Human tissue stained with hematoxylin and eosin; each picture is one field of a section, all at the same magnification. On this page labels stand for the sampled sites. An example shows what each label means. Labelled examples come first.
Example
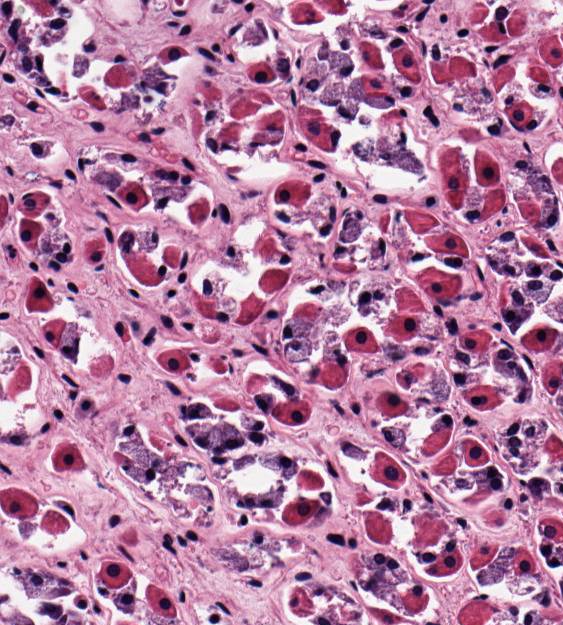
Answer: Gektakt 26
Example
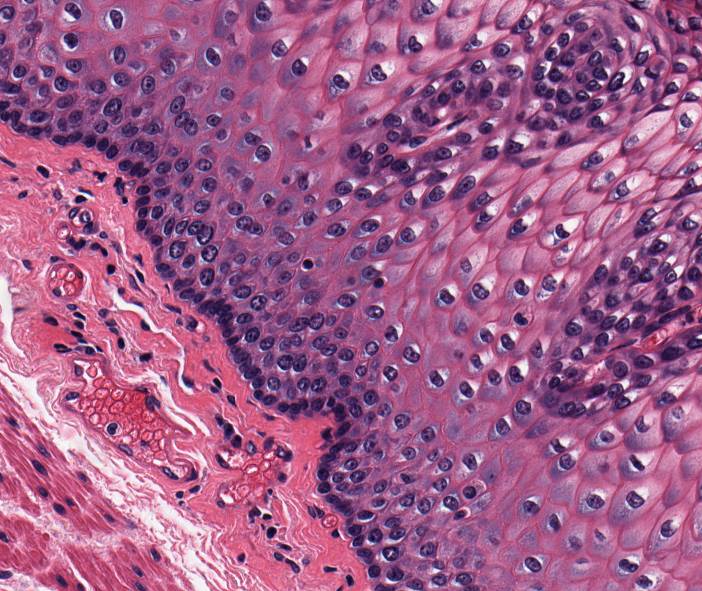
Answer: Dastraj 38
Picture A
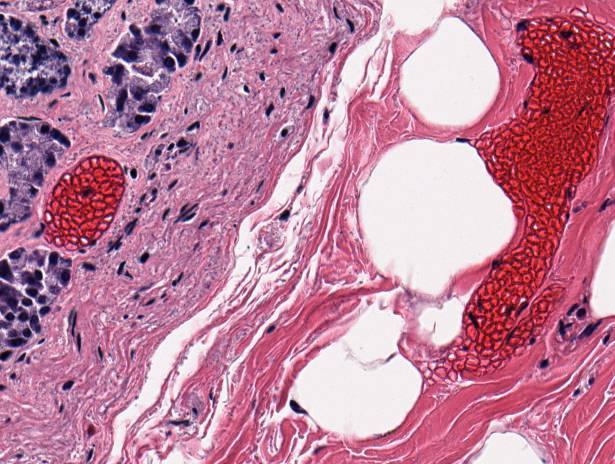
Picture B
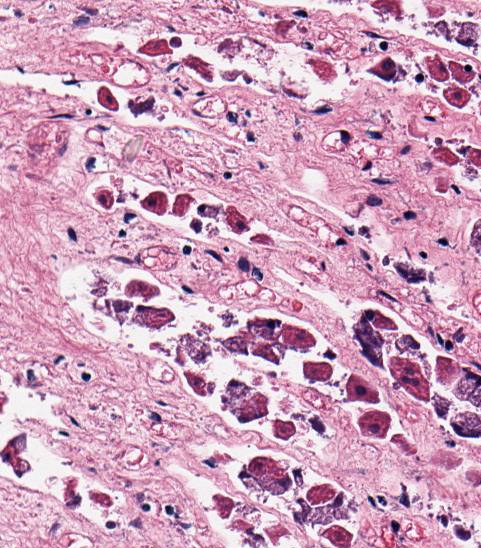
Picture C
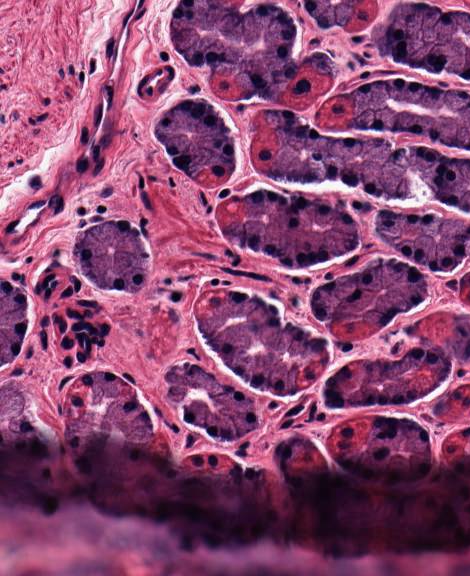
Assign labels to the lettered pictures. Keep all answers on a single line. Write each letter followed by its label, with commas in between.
A Gektakt 26, B Gektakt 26, C Gektakt 26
